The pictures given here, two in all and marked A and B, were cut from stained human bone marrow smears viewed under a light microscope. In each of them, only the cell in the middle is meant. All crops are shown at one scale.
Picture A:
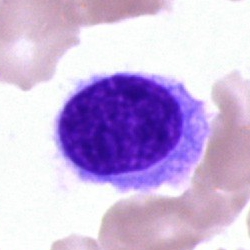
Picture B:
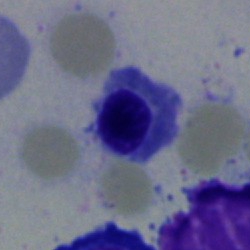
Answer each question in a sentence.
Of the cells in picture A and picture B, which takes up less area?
Smaller is the cell in picture B, and the other is about 2.5 times as large in area.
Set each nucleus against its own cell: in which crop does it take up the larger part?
Of the two, the nucleus in picture A makes up the greater part of its cell.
